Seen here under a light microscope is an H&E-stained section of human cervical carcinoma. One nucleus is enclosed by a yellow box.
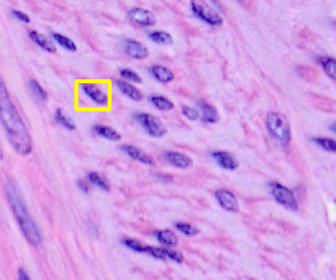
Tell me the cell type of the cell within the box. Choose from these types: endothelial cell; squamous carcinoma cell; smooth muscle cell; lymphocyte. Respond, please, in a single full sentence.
By cell type, the cell within the box is a smooth muscle cell.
